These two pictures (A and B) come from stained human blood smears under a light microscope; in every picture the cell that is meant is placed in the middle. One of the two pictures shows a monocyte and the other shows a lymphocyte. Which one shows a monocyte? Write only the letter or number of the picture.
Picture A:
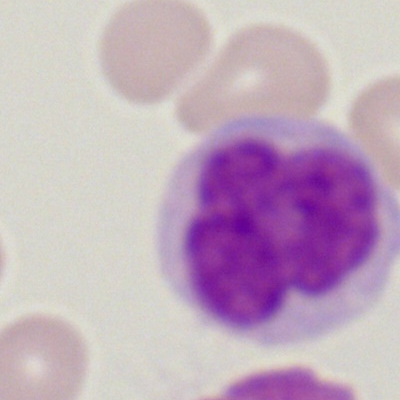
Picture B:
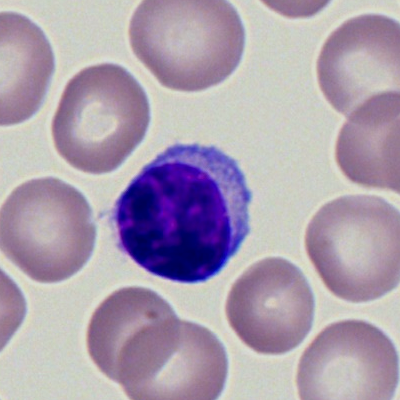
A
